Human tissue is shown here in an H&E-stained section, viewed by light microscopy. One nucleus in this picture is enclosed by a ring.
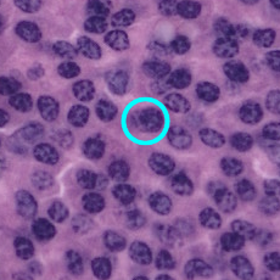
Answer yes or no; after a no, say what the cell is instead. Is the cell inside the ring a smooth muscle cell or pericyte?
No, it is a plasma cell.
